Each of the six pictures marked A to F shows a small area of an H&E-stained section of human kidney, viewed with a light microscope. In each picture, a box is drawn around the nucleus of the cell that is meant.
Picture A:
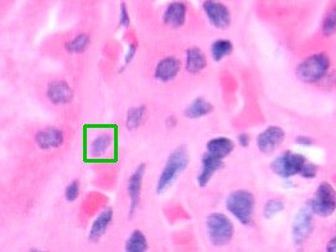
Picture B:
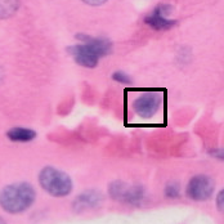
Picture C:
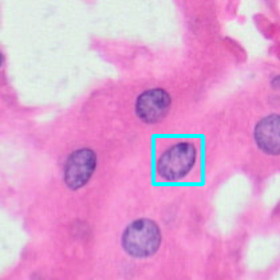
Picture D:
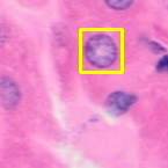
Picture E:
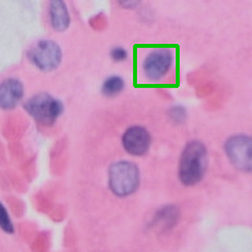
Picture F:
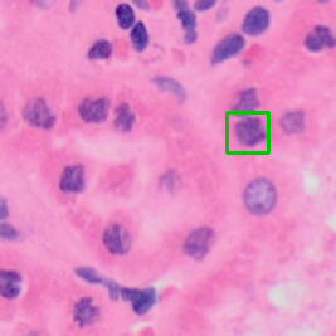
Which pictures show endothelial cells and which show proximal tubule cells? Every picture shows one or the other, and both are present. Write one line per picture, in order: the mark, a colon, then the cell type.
A: endothelial cell
B: endothelial cell
C: proximal tubule cell
D: proximal tubule cell
E: endothelial cell
F: proximal tubule cell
